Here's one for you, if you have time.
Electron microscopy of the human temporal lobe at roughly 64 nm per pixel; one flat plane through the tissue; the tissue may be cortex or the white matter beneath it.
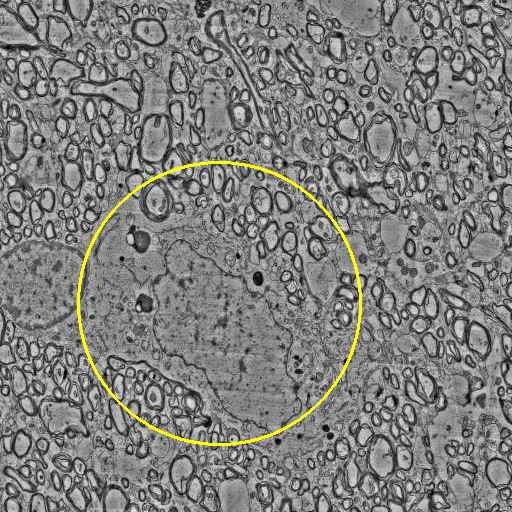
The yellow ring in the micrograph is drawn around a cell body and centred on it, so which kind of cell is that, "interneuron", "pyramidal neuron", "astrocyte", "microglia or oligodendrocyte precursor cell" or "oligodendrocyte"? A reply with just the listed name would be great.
pyramidal neuron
